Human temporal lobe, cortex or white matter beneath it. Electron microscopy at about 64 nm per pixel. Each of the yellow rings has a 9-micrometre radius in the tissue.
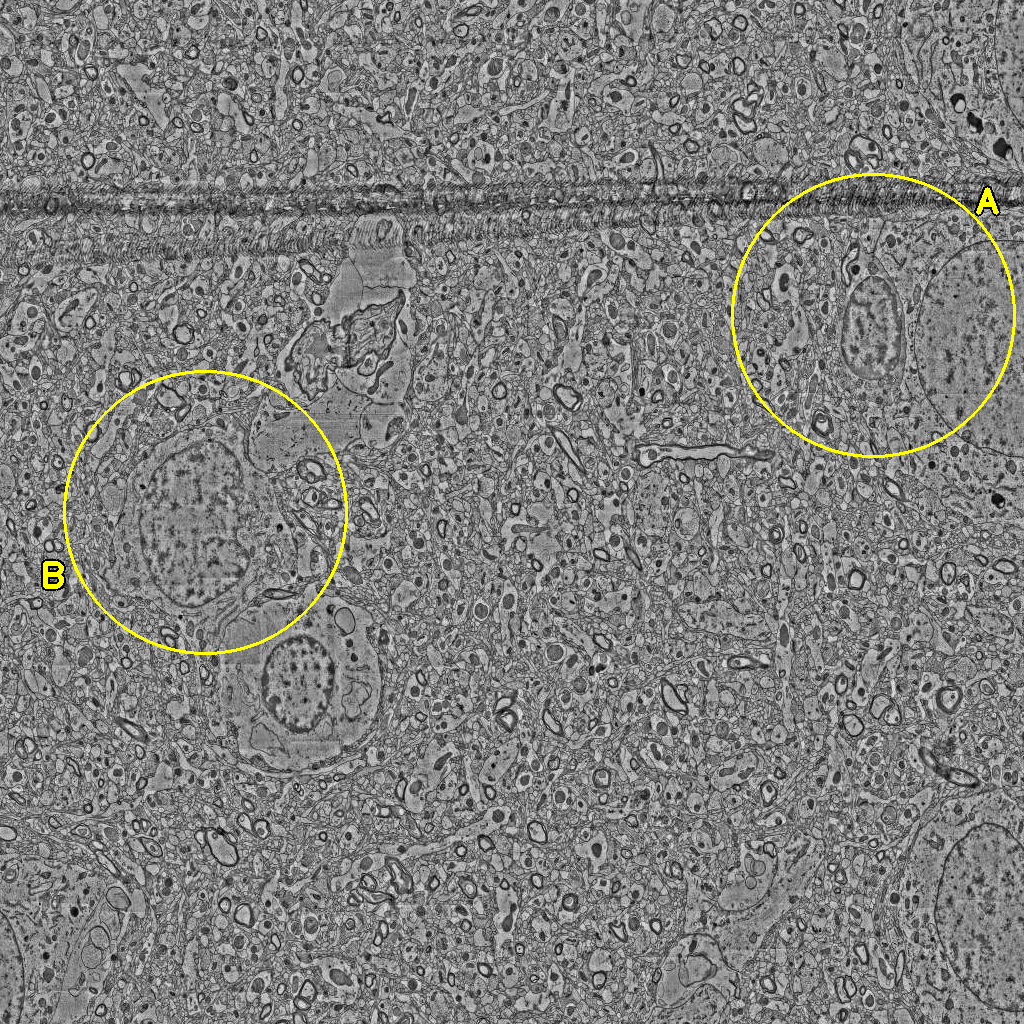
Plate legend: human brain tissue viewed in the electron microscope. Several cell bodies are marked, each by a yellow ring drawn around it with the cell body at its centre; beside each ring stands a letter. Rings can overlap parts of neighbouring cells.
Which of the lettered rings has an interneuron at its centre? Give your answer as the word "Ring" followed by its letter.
Ring B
